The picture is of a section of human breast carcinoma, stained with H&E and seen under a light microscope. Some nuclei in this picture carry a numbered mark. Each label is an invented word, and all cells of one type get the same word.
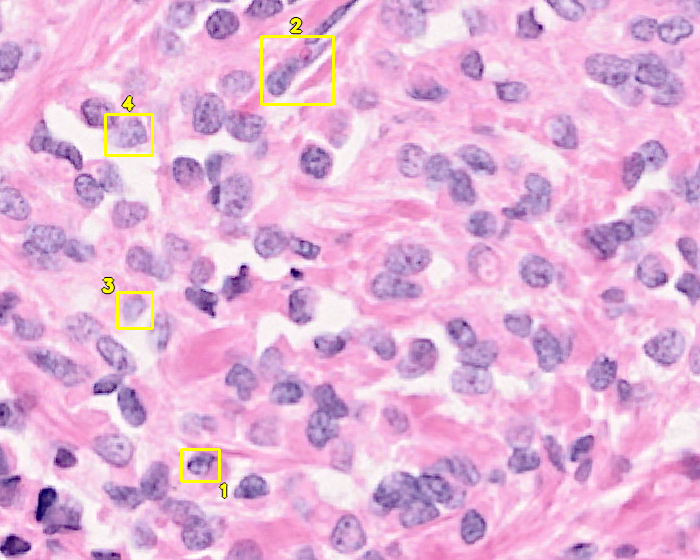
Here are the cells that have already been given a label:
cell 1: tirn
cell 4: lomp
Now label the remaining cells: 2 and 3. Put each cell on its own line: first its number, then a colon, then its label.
2: tirn
3: lomp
